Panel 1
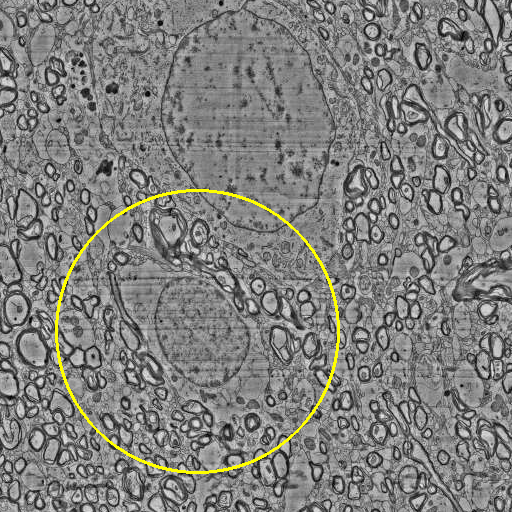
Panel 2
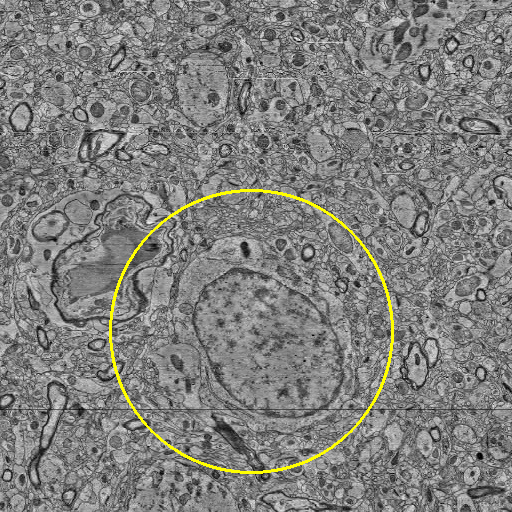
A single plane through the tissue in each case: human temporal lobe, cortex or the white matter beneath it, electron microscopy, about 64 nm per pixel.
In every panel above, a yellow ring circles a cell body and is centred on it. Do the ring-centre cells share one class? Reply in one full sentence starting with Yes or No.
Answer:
No, the two cells at the ring centres in the panels belong to two classes.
